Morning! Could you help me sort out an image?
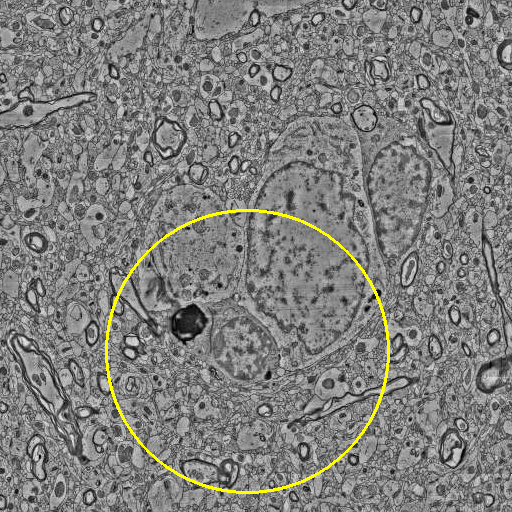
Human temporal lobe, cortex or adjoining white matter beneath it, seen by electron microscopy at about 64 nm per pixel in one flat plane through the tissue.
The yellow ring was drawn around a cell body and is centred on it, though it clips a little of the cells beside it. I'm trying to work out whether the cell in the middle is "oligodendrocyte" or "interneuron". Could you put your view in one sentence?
The ringed cell body is that of an oligodendrocyte.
